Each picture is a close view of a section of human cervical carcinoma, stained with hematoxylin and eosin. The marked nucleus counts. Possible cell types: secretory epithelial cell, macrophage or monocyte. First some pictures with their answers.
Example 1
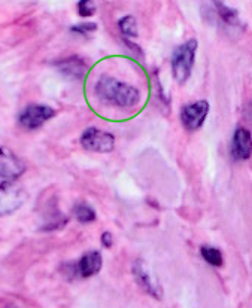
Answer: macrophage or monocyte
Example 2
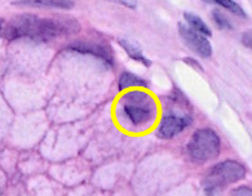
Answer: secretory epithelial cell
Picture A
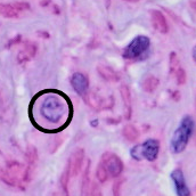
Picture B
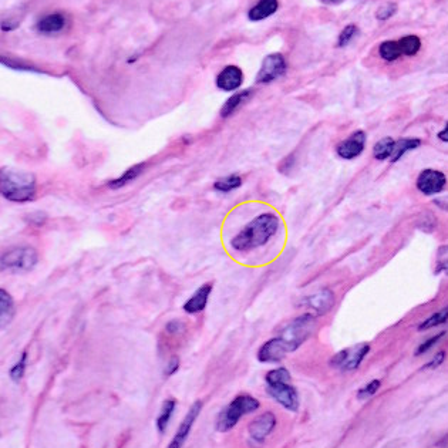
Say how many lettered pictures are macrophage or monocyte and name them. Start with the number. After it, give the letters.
2: A, B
